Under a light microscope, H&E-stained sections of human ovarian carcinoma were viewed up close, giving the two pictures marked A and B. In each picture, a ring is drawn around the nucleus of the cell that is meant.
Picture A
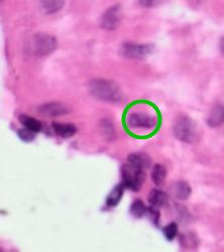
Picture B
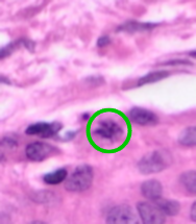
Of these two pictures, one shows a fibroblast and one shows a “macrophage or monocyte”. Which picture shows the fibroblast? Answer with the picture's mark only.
A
